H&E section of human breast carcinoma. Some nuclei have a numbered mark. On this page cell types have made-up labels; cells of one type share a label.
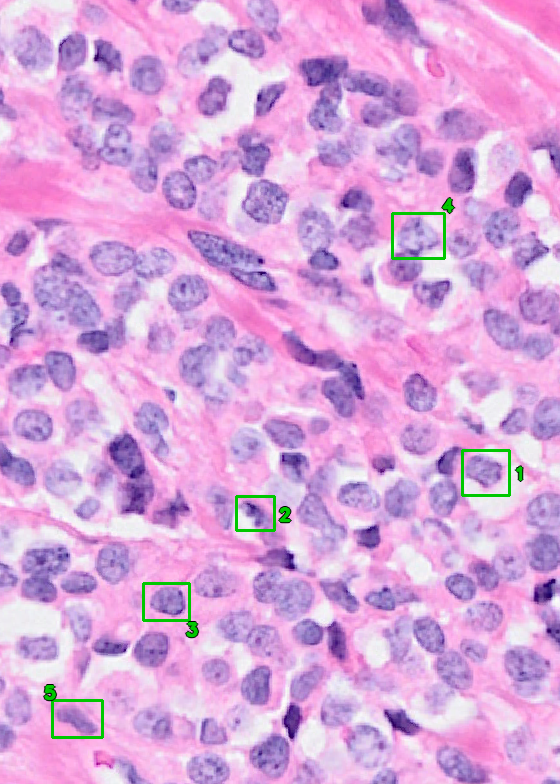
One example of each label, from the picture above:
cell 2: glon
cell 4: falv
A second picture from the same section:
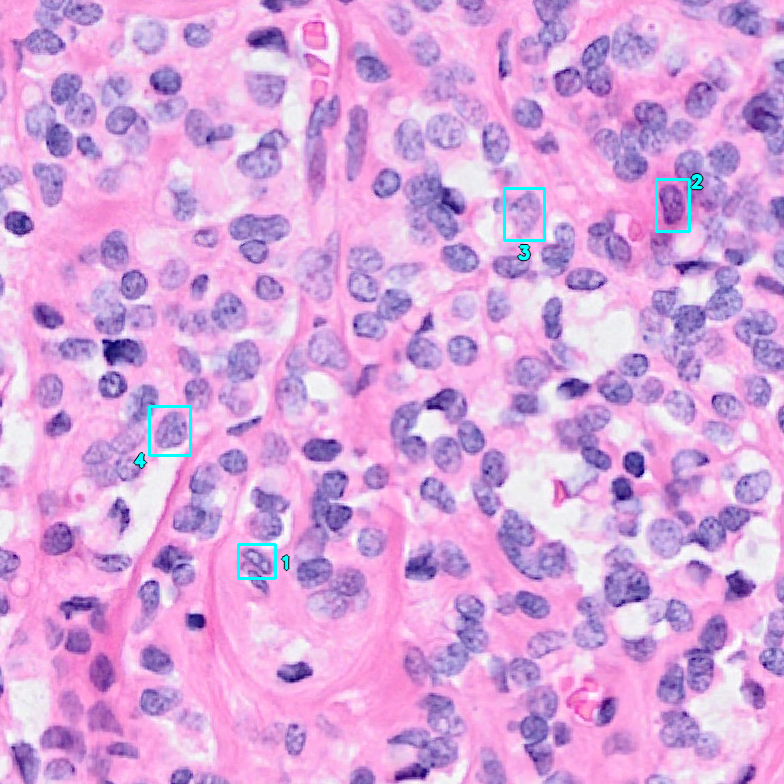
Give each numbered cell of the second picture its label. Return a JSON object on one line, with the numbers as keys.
{"1": "glon", "2": "falv", "3": "falv", "4": "falv"}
